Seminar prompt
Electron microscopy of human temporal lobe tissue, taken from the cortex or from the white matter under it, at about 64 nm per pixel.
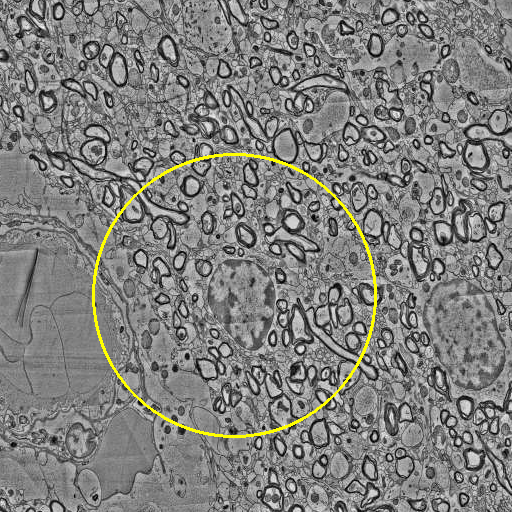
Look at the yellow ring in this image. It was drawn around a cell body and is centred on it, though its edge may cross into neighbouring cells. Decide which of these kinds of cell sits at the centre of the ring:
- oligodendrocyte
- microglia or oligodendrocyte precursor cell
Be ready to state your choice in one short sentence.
The kind of cell at the ring's centre is a microglial cell or oligodendrocyte precursor cell.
